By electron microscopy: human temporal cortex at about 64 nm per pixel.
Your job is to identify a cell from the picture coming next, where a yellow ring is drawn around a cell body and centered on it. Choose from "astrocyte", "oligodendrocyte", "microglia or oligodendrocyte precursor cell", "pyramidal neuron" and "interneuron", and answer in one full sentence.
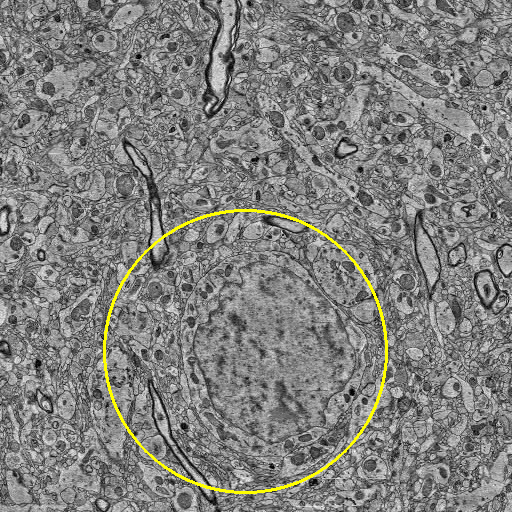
Centered in the yellow ring of the picture is the body of an interneuron.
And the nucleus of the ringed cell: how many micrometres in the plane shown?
Roughly 11 micrometres across for the nucleus, in this plane.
